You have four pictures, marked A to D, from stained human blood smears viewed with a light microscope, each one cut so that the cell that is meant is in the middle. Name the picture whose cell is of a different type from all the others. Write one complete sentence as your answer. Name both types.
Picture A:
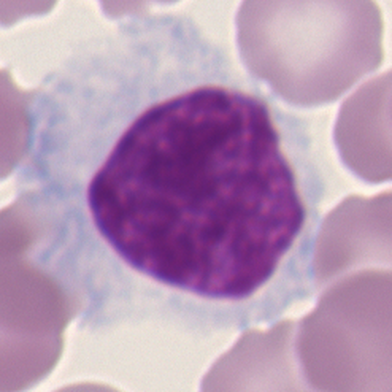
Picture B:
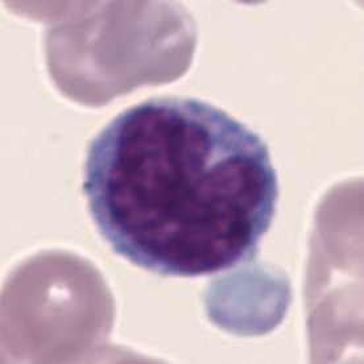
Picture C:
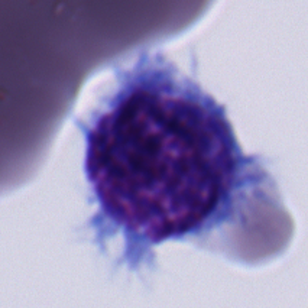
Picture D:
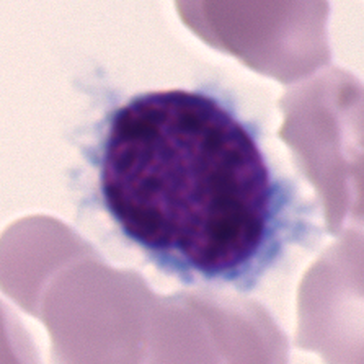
Picture B is the odd one out: it shows a monocyte, while the others show hairy cells.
